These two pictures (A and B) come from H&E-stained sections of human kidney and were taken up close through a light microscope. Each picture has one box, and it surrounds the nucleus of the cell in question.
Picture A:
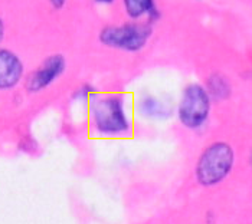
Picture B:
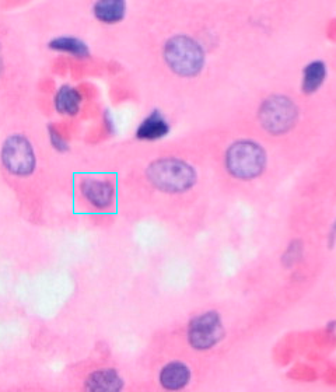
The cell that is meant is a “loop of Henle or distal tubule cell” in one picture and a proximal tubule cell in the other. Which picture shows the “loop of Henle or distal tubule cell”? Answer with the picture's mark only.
A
